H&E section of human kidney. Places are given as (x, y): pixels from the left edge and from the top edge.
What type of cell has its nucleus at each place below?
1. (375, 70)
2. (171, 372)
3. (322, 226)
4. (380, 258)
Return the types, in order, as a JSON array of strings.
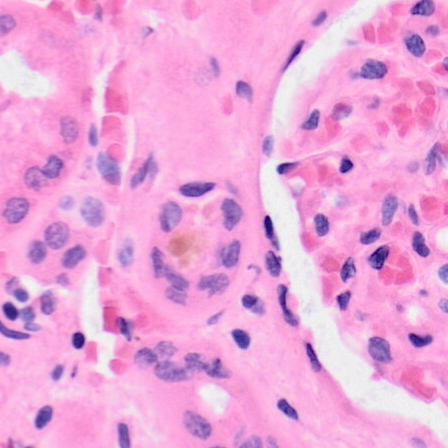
["endothelial cell", "collecting duct cell", "endothelial cell", "endothelial cell"]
